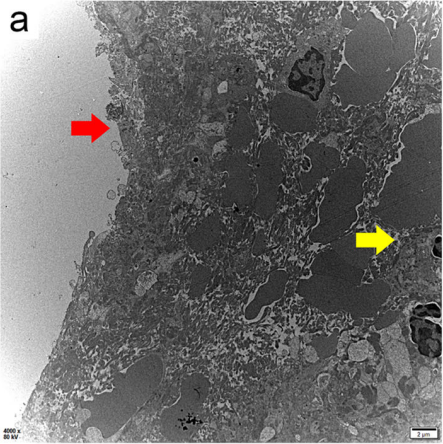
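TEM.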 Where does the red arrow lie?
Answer: The surface of the thrombus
